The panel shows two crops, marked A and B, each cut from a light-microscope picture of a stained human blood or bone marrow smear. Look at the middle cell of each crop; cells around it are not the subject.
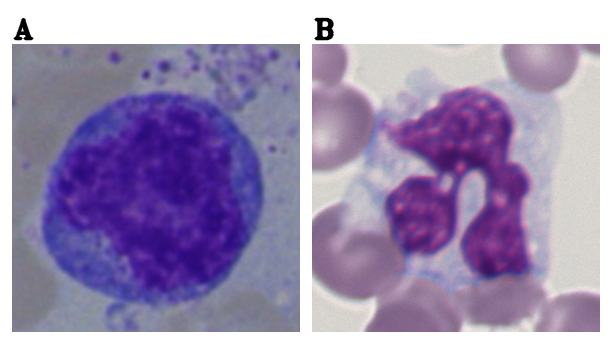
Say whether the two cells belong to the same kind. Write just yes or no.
yes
